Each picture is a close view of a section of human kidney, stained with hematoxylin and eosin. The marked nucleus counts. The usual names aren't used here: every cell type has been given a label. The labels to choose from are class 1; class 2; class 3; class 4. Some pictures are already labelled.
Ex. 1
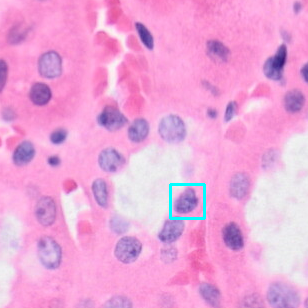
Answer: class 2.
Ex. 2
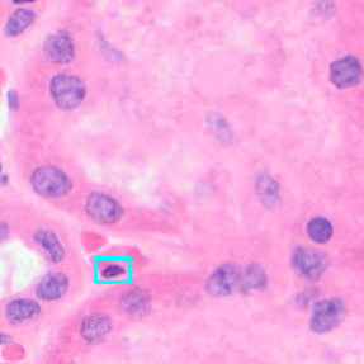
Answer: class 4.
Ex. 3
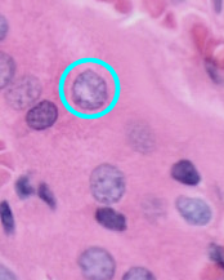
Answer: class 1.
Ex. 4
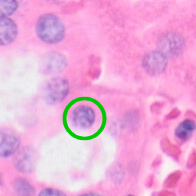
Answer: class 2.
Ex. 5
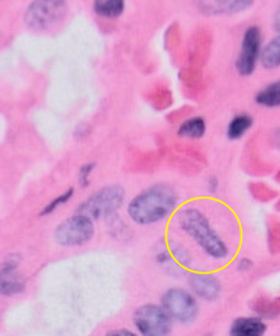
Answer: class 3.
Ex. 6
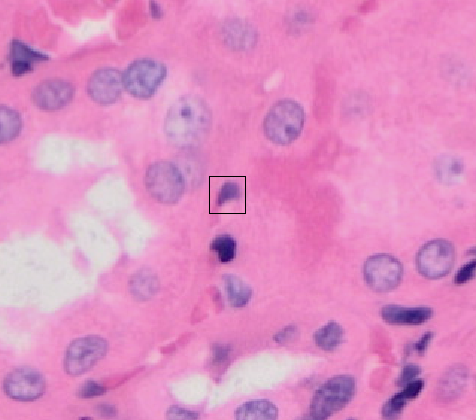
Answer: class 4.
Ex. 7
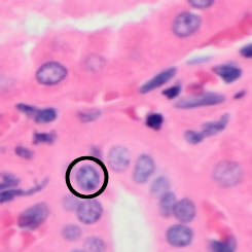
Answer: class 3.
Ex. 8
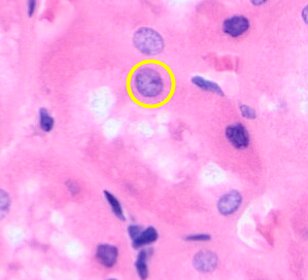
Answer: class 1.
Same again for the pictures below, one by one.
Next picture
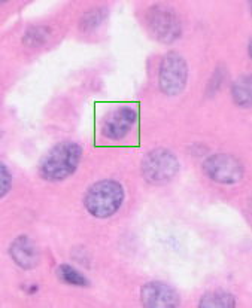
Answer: class 2.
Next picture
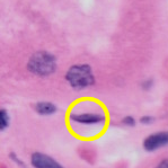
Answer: class 4.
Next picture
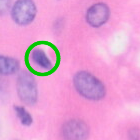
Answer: class 4.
